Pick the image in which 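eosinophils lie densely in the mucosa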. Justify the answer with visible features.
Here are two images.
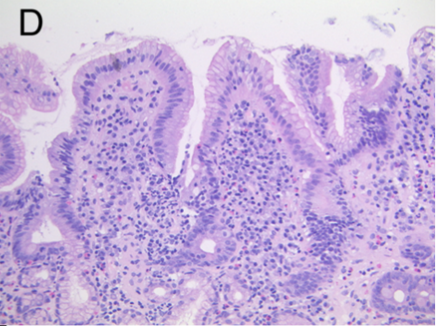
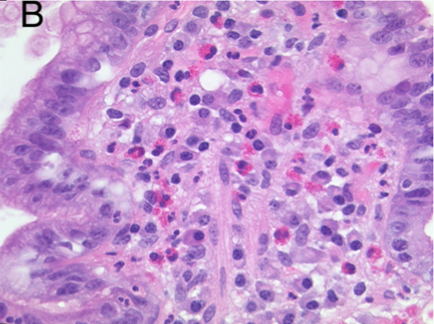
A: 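First image: the cellular stroma shows few or no cells with bright red granular cytoplasm. Second image: numerous cells with bright red granular cytoplasm crowd the stroma. On this evidence: the second image.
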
